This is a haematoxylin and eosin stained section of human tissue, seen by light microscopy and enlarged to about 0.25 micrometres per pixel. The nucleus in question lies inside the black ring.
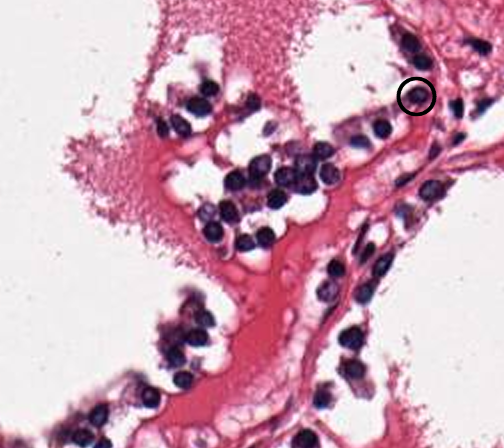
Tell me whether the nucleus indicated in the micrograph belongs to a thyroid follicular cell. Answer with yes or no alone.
yes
